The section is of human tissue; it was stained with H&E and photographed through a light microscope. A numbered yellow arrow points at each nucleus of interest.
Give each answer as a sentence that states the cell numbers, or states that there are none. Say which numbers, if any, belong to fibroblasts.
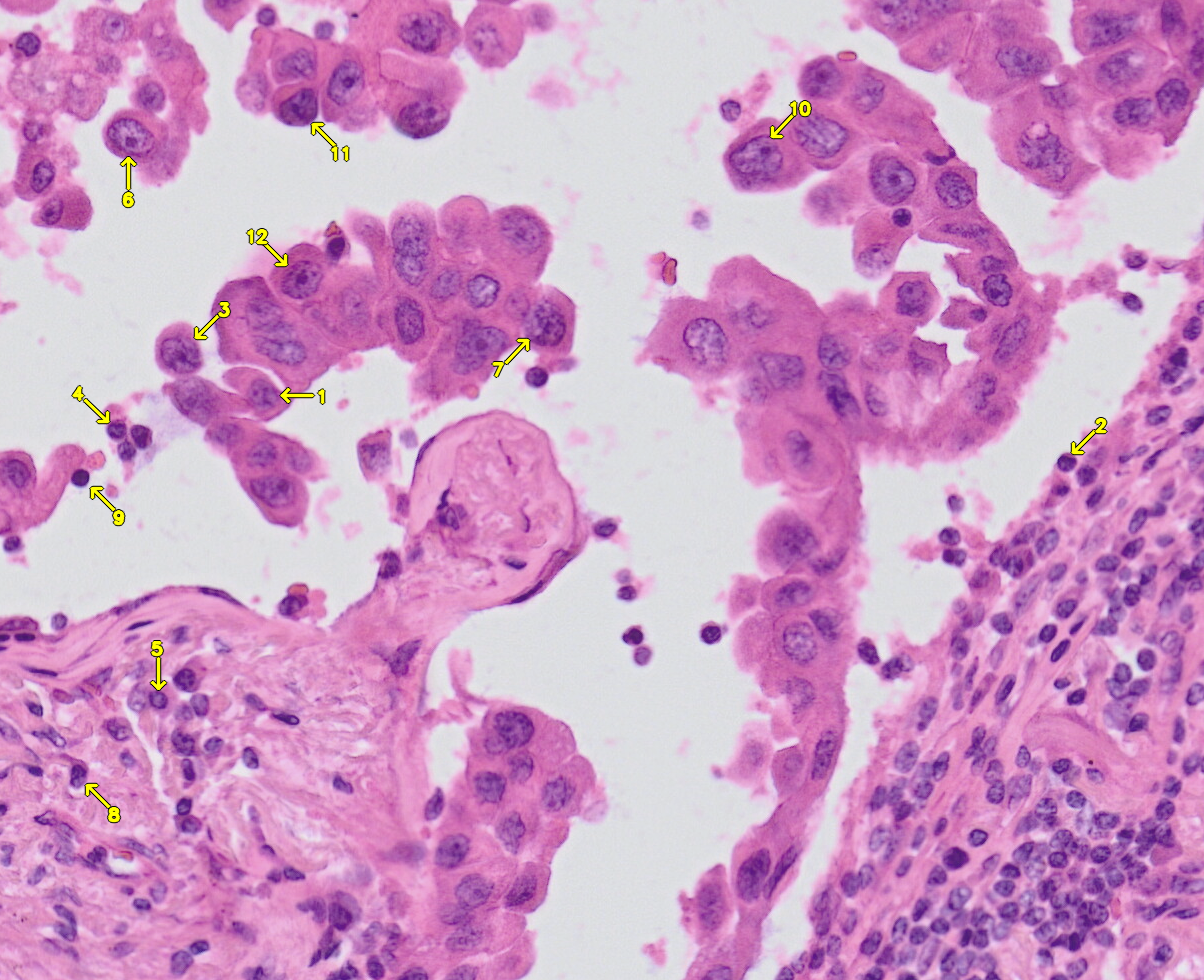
None of the cells labelled with numbers belong to the fibroblasts.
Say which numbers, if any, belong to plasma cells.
The cells shown with numbers 5 and 8 are plasma cells.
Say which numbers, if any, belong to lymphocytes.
The cells tagged 2, 4 and 9 are lymphocytes in this tissue section.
